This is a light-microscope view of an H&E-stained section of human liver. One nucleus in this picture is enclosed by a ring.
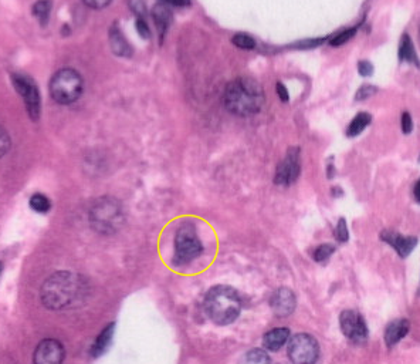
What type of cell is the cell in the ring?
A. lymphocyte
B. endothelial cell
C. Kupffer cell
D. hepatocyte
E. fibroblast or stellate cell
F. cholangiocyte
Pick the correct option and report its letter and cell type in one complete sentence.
The correct option is E, and the cell in the ring is a fibroblast or stellate cell.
